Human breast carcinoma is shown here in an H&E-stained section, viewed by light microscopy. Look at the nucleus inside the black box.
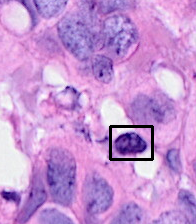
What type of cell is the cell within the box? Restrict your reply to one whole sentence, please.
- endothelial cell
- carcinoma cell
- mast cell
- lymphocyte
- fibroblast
The correct response here is that the cell within the box is a carcinoma cell.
